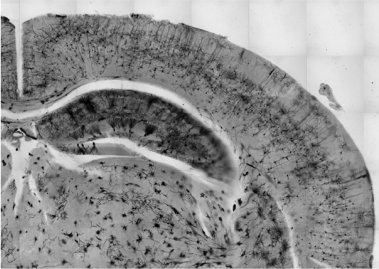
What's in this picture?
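The cortex forms a broad band along the top and right side. Many dark cell bodies with thin processes run roughly perpendicular to the surface. Below the cortex is a curved, densely stained band with a pale white-matter strip alongside it, and further down is deeper tissue with many scattered impregnated cells.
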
